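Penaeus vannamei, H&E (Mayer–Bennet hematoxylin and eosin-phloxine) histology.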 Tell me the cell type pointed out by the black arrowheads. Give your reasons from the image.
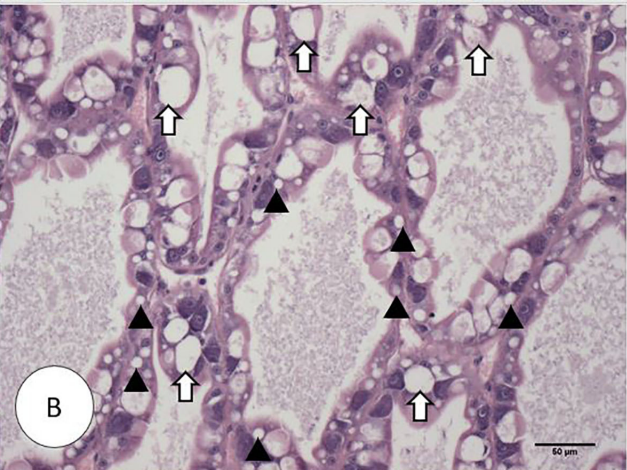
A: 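The marked cells lie in the tubule epithelium with small vacuoles or dense cytoplasm. They lack a single large vacuole. That points to this answer: R-cells.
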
